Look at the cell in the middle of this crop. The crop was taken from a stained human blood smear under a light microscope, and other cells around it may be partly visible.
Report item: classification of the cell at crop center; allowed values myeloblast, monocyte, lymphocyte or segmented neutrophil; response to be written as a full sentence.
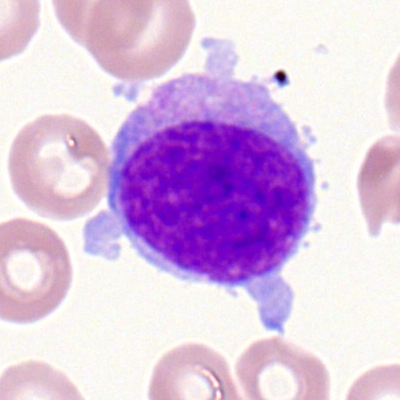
This crop has a myeloblast at its centre.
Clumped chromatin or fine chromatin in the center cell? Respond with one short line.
The nuclear chromatin is fine, showing no coarse aggregates.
